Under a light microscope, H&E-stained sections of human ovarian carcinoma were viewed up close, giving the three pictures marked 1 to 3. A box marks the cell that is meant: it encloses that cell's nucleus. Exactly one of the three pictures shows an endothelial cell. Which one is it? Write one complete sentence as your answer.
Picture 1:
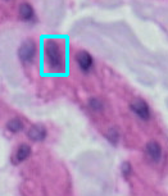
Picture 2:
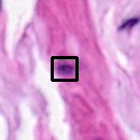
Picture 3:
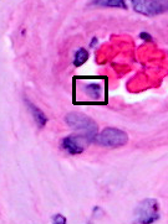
It is picture 3 that shows the endothelial cell.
